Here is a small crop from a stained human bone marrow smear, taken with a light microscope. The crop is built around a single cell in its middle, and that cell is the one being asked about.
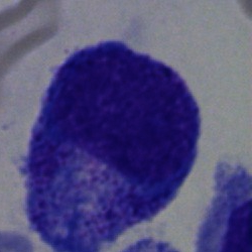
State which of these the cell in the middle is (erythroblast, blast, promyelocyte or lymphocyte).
promyelocyte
